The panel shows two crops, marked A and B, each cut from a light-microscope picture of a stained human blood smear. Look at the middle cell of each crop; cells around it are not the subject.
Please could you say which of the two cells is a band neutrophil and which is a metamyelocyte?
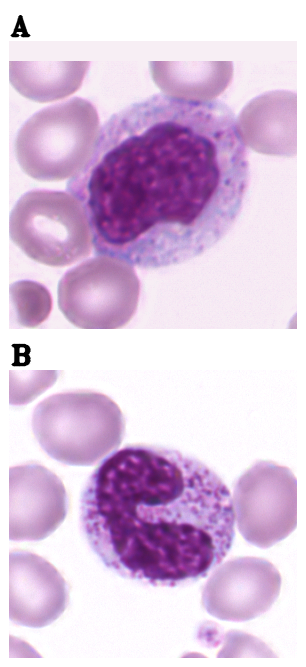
A: metamyelocyte
B: band neutrophil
